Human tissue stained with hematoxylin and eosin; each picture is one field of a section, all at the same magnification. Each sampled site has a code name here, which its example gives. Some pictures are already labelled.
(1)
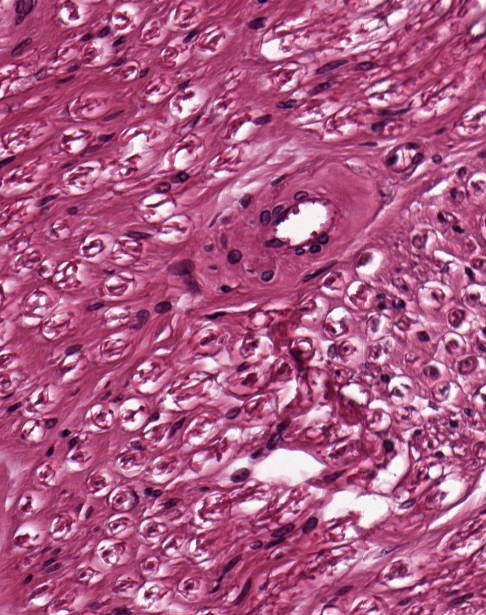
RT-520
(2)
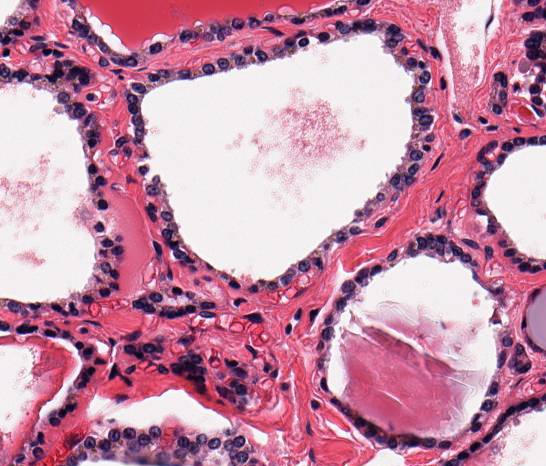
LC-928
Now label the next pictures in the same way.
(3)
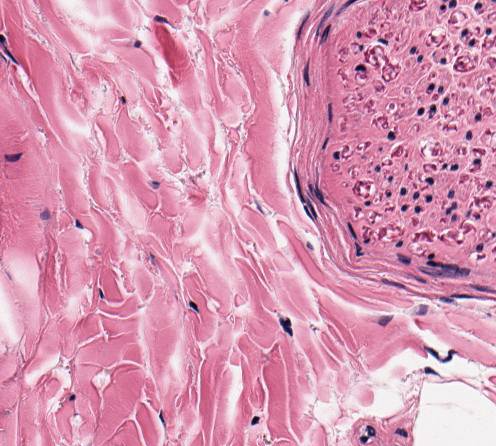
RT-520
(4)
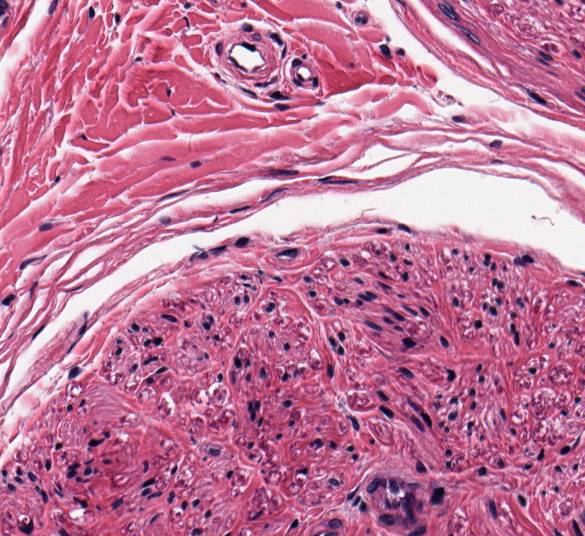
RT-520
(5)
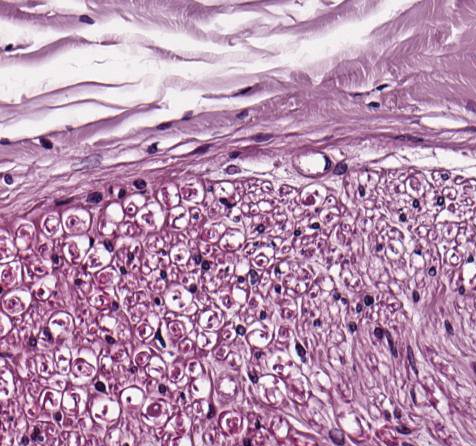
RT-520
